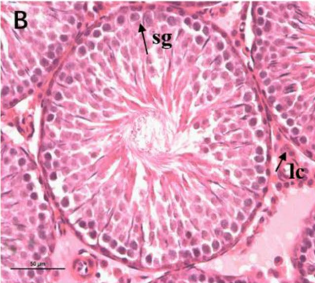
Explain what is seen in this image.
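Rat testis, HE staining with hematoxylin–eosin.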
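A cross-section of a seminiferous tubule is shown, lined by stacked layers of germ cells with round purple nuclei in pink cytoplasm. Outside the tubule, interstitial cells with pink cytoplasm lie in the angles between tubules.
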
